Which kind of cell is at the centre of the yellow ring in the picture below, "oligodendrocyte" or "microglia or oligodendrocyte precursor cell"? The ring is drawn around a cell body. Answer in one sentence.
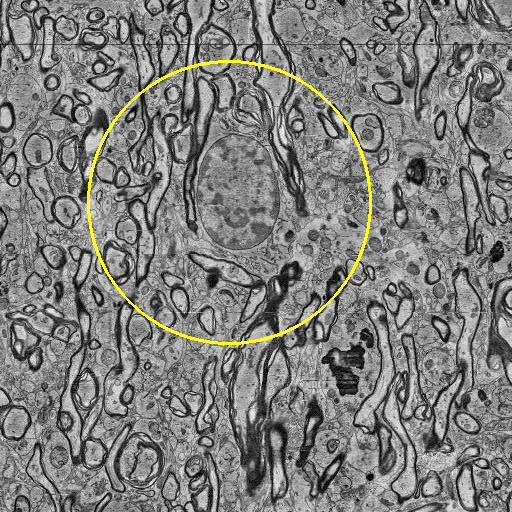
The ring's central cell is a microglial cell or oligodendrocyte precursor cell.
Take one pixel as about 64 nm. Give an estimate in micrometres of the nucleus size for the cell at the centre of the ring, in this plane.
Approximately 7 x 6 micrometres in this plane.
